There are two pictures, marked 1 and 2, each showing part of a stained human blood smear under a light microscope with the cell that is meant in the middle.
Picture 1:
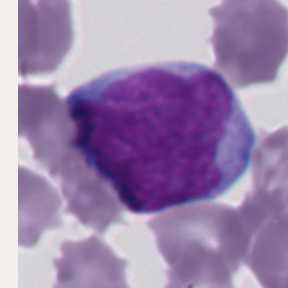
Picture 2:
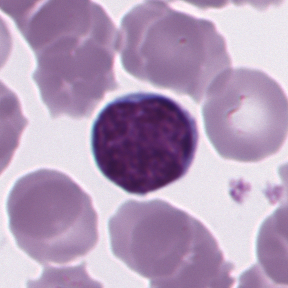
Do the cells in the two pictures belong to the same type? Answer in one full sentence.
No; the cell in picture 1 is a myeloblast, while the one in picture 2 is a typical lymphocyte.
